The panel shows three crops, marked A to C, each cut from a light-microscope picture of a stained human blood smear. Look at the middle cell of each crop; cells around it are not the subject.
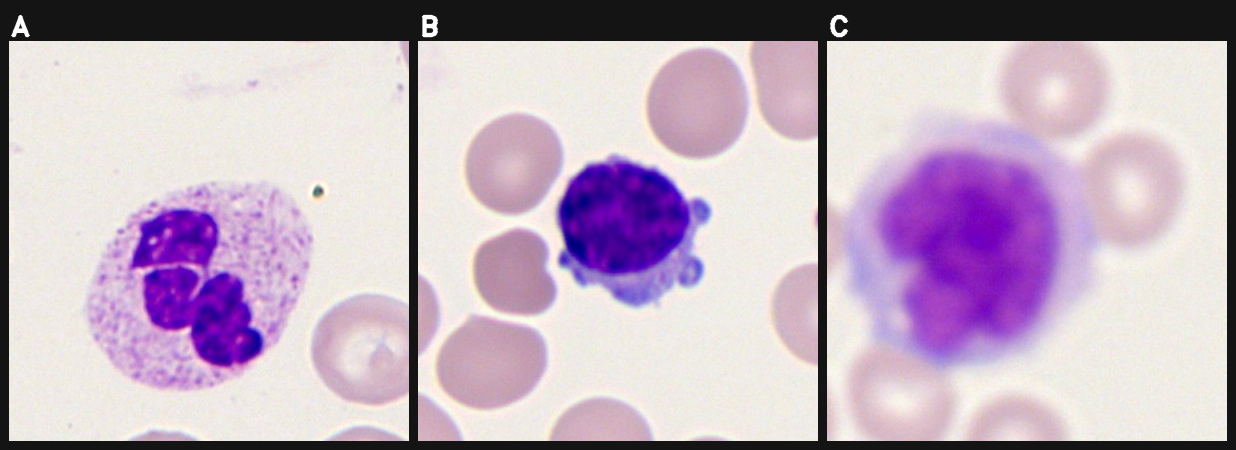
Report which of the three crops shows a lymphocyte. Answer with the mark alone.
B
